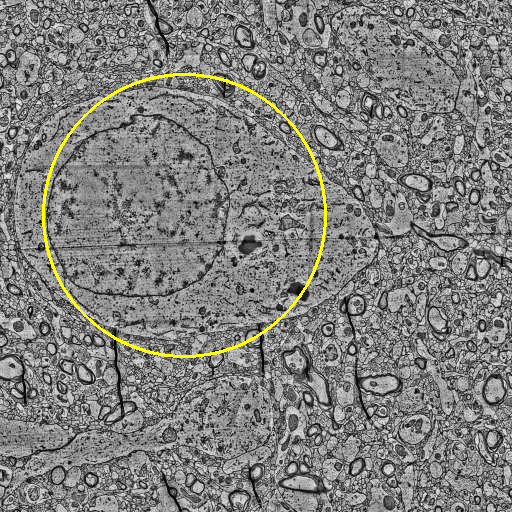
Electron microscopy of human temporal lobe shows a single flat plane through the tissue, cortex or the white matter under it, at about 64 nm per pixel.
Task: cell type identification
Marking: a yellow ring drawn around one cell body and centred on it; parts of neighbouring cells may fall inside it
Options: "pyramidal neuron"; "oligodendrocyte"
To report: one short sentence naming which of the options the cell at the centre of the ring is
The cell at the centre of the ring is a pyramidal neuron.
